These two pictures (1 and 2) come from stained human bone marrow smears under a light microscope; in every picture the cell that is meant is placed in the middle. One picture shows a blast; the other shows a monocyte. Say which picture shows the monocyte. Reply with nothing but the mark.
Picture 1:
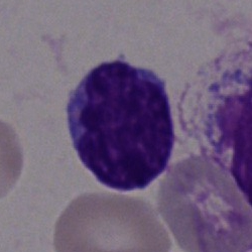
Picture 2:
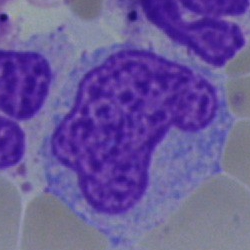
2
